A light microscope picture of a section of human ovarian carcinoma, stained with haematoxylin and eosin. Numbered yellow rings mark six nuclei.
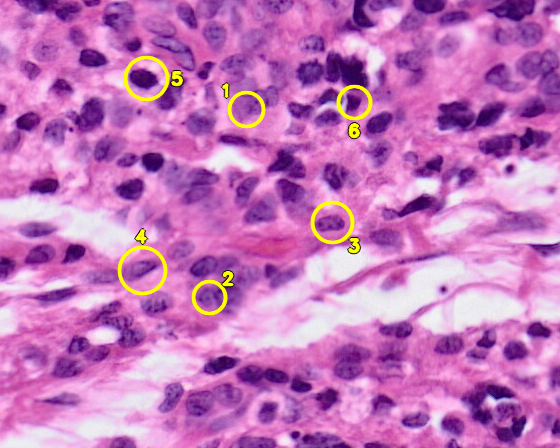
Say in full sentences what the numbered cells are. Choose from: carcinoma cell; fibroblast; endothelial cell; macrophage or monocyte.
Cells 1, 2, 5 and 6 are carcinoma cells. Cell 3 is a macrophage or monocyte. Cell 4 is an endothelial cell.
